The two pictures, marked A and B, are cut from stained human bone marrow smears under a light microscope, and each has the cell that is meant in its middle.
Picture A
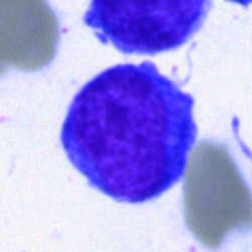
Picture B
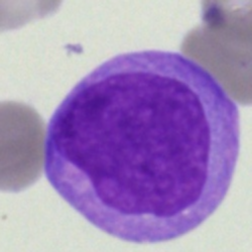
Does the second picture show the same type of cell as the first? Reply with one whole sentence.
Yes, both are blasts.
